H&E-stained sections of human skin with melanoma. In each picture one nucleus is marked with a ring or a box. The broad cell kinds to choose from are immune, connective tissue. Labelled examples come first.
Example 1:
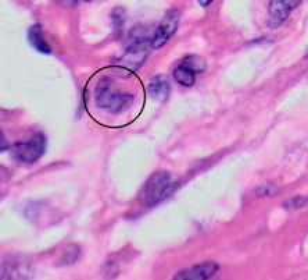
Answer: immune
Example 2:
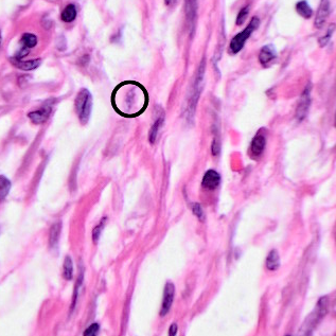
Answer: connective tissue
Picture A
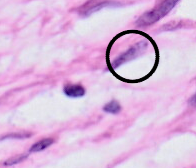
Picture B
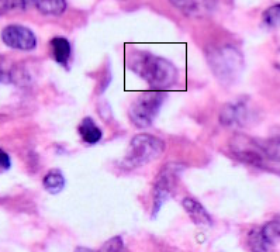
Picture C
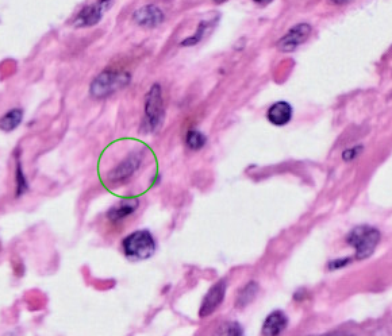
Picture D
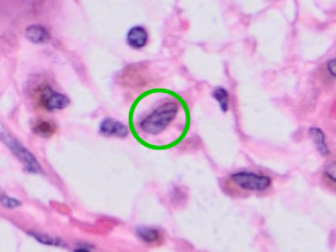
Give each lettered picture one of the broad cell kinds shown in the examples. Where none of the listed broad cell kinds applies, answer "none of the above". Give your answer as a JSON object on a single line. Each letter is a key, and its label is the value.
{"A": "connective tissue", "B": "none of the above", "C": "immune", "D": "immune"}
